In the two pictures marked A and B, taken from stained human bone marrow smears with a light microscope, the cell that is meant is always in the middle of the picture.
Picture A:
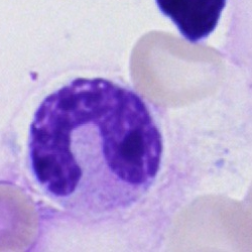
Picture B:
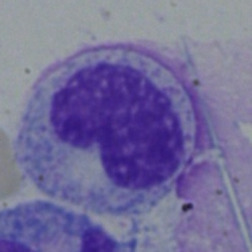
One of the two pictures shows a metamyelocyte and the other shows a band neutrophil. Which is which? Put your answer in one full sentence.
Picture A shows a band neutrophil and picture B shows a metamyelocyte.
